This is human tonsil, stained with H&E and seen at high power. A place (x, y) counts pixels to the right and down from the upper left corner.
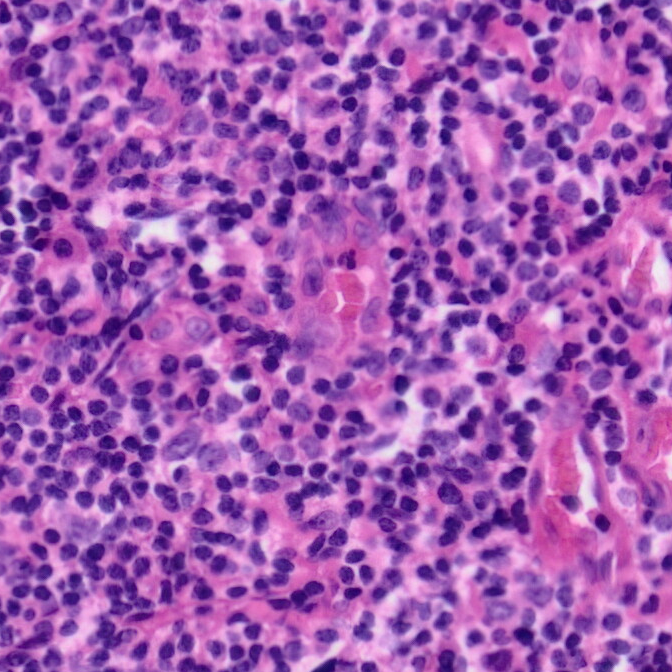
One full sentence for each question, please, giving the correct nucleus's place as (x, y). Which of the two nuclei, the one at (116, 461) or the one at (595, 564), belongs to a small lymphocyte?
Of the two candidate nuclei, the one at (116, 461) is that of a small lymphocyte.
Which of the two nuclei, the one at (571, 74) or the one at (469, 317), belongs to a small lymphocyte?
Of these two nuclei, it is the one at (469, 317) that belongs to a small lymphocyte.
